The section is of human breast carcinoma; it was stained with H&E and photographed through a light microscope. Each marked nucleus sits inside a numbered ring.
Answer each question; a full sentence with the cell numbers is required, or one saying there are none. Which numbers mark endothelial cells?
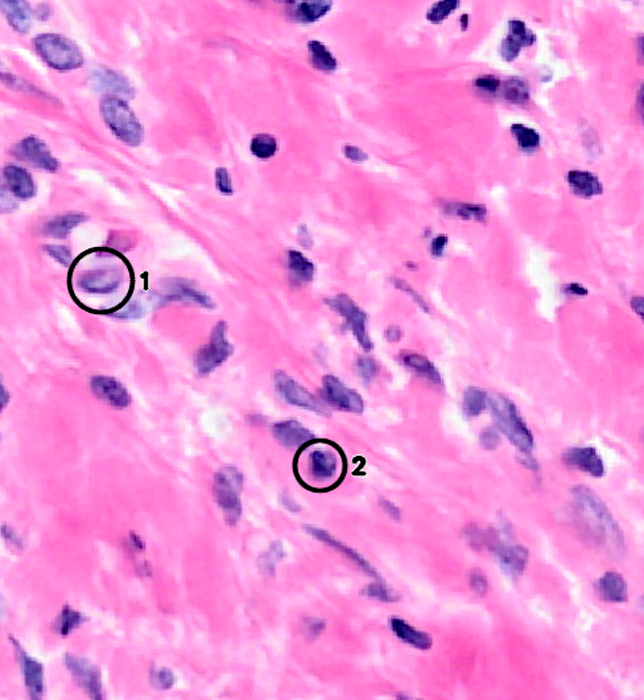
Only cell 1 qualifies as an endothelial cell among the numbered cells.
